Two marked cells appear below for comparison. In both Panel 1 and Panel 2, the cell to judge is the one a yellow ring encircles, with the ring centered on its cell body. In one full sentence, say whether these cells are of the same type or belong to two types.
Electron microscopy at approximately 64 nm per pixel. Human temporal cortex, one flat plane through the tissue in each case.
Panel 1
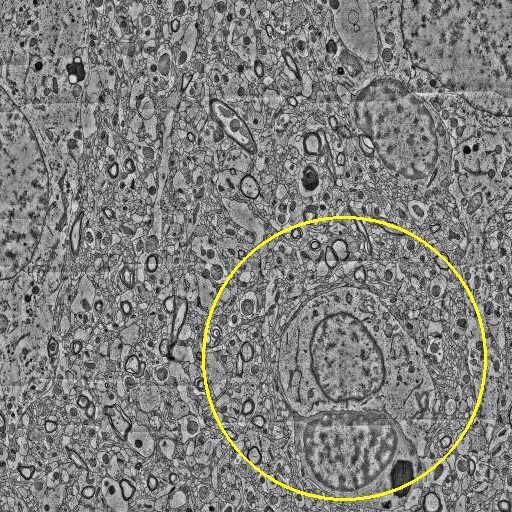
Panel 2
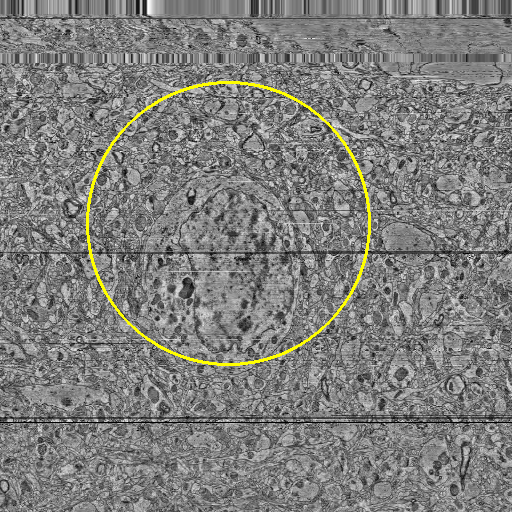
The cell centered in the Panel 1 ring and the one in Panel 2 belong to two types.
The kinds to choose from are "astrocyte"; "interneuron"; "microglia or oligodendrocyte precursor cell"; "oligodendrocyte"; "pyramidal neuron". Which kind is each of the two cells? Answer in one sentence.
Of the two, the first cell is a pyramidal neuron and the second cell is an interneuron.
